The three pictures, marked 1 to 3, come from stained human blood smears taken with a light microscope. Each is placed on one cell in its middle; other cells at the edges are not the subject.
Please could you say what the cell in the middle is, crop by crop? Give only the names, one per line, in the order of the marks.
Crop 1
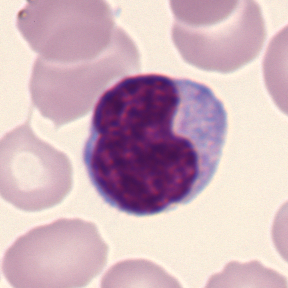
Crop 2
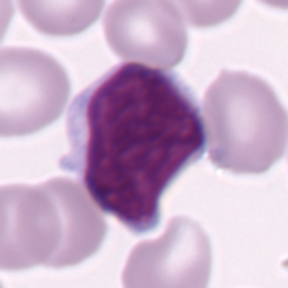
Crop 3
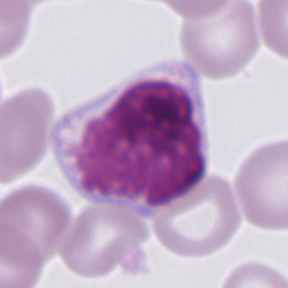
typical lymphocyte
typical lymphocyte
large granular lymphocyte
